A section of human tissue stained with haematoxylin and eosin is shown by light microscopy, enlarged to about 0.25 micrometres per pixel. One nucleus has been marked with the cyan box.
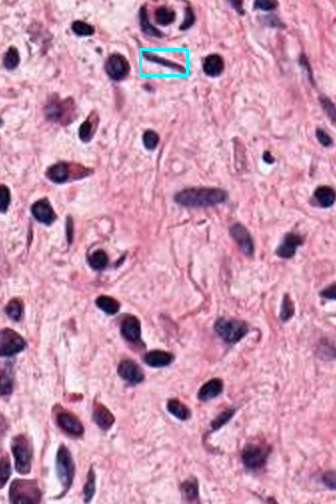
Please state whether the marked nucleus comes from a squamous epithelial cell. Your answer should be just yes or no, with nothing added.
no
